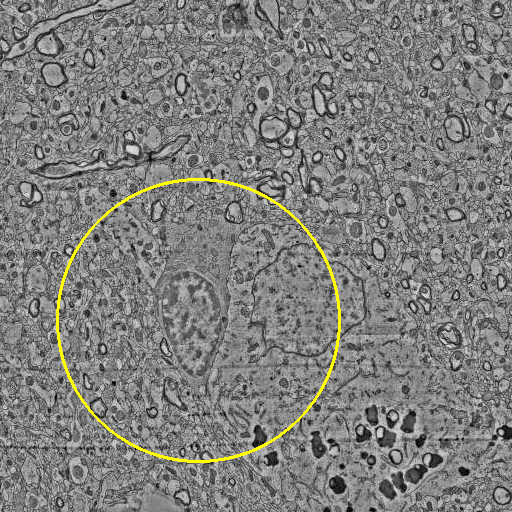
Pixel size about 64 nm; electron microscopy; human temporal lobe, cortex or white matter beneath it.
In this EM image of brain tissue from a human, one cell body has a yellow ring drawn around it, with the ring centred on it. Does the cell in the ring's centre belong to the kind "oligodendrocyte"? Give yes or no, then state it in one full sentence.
Yes, in the picture, the cell centred in the yellow ring belongs to that kind.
